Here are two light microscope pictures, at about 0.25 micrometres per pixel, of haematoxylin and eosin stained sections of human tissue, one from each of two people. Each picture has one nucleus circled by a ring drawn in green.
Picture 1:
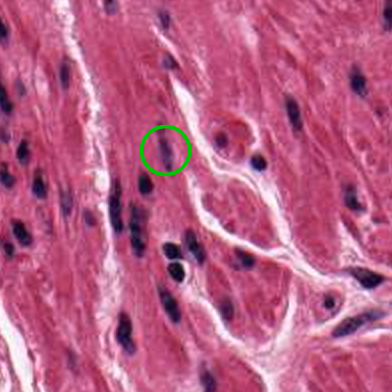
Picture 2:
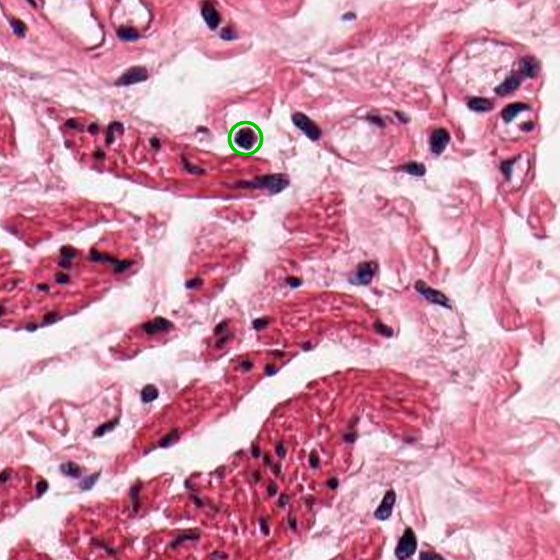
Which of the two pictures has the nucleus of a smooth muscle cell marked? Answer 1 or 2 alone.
1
